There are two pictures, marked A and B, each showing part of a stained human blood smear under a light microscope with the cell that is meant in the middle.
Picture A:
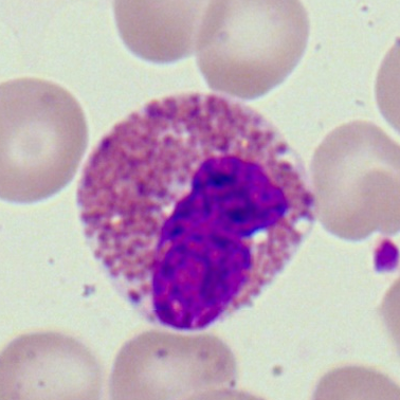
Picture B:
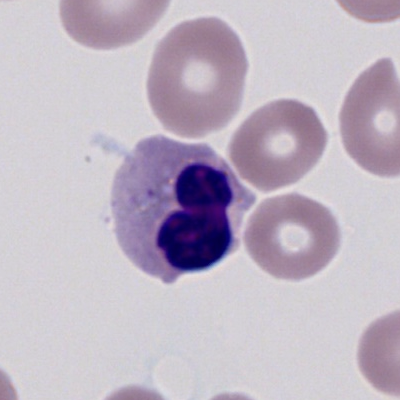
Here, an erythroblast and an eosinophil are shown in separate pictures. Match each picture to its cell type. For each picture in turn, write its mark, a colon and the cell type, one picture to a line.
A: eosinophil
B: erythroblast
